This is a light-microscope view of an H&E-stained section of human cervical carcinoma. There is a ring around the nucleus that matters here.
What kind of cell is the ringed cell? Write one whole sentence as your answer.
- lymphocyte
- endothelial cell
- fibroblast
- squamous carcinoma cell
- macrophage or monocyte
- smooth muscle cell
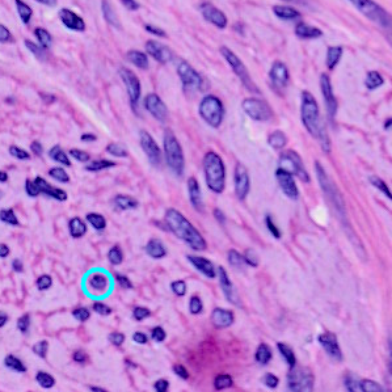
In this preparation, the ringed cell is a smooth muscle cell.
